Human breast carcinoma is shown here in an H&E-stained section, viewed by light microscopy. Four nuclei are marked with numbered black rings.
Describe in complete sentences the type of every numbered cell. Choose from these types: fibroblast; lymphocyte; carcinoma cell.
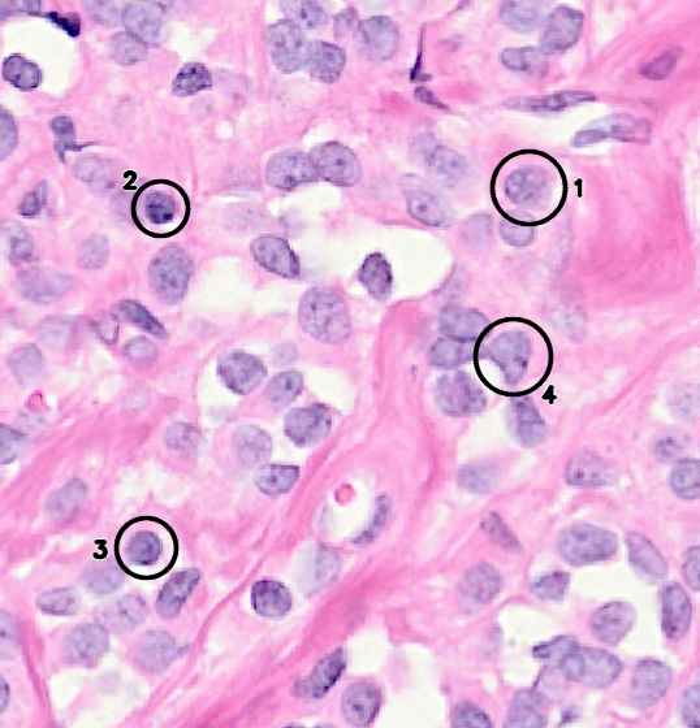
Cell 1 is a carcinoma cell, cell 2 is a lymphocyte, cell 3 is a carcinoma cell and cell 4 is a carcinoma cell.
